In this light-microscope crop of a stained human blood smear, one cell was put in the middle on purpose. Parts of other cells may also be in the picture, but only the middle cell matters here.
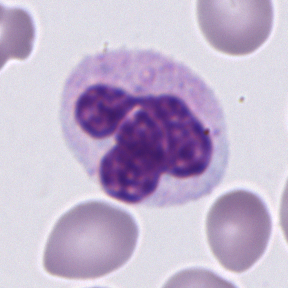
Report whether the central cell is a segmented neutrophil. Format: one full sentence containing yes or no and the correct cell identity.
Yes, the cell in the center of this crop is a segmented neutrophil.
